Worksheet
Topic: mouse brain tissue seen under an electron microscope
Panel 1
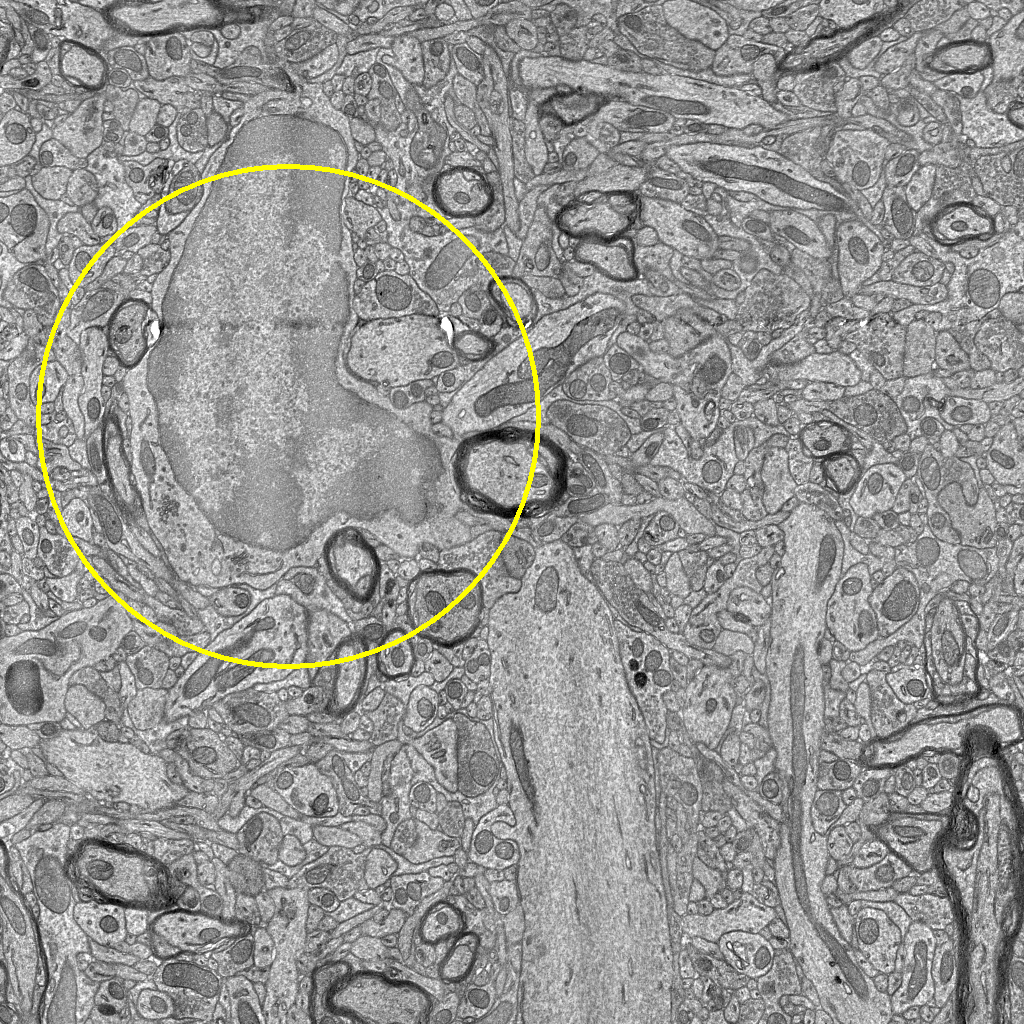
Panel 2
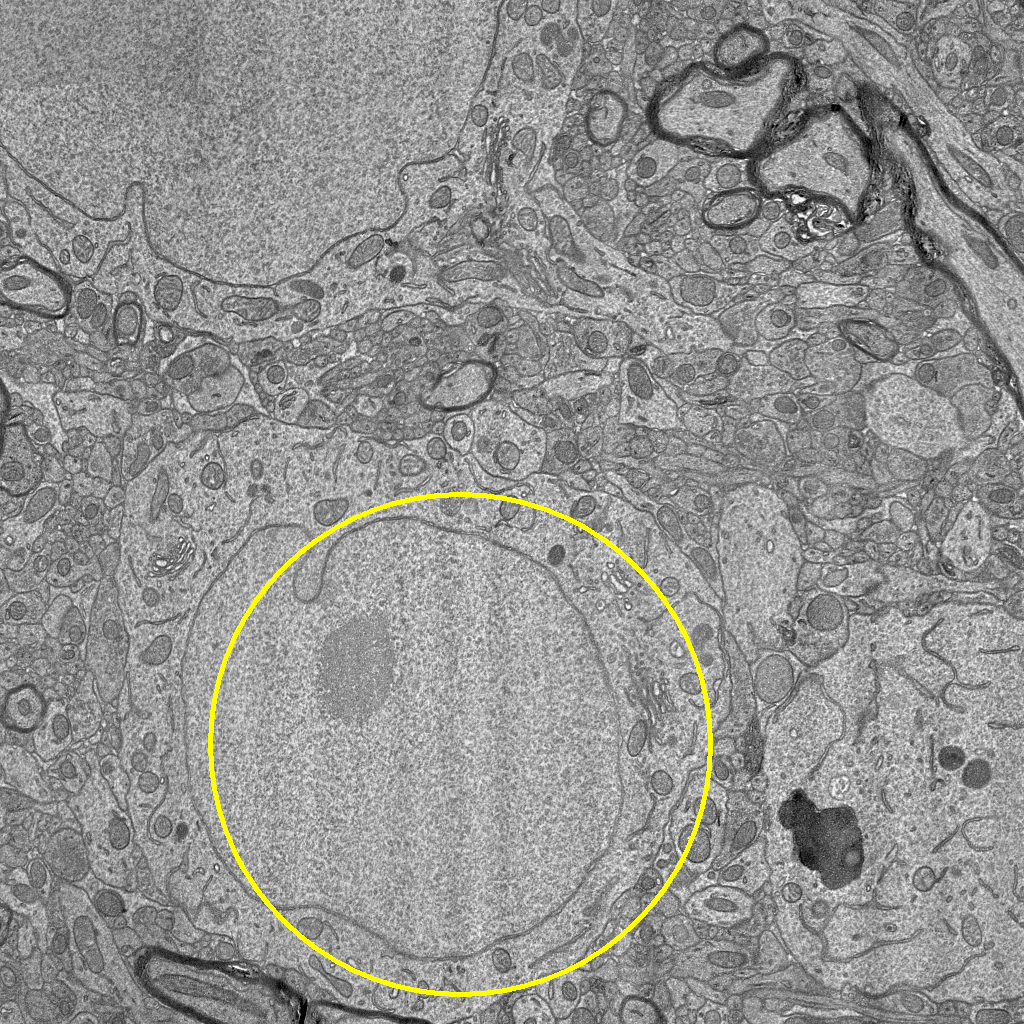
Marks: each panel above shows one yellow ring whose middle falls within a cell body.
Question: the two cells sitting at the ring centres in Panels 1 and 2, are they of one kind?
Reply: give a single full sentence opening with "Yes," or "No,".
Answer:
No, the two cells at the ring centres in Panel 1 and Panel 2 are of two kinds.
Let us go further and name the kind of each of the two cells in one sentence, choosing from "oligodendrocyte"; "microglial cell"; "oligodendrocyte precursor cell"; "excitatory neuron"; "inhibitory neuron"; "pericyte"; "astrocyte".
The second cell is an excitatory neuron, and the first cell is a microglial cell.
